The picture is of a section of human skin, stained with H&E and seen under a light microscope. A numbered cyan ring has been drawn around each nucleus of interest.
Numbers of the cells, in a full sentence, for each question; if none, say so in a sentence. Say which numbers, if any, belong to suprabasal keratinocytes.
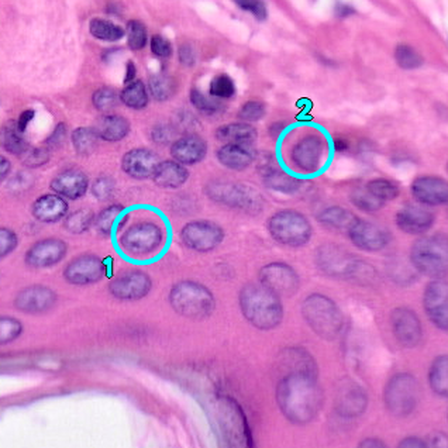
Unlike the other numbered cells, cell 1 is a suprabasal keratinocyte.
